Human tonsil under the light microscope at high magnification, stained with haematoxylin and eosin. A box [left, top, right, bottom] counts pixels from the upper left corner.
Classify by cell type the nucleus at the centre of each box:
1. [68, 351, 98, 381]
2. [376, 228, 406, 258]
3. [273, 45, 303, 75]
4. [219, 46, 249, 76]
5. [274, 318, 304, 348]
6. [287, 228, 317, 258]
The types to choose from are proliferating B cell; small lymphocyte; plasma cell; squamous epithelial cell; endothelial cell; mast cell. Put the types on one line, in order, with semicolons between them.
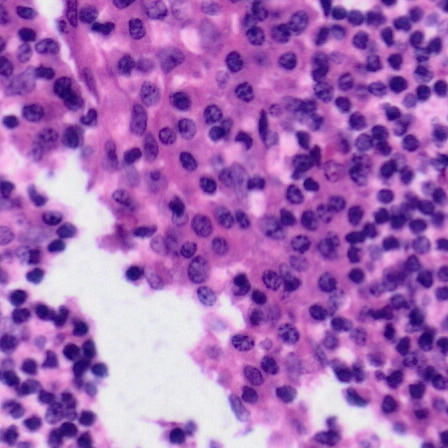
small lymphocyte; small lymphocyte; plasma cell; plasma cell; plasma cell; plasma cell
